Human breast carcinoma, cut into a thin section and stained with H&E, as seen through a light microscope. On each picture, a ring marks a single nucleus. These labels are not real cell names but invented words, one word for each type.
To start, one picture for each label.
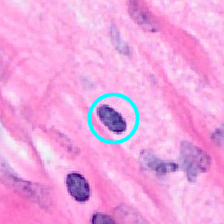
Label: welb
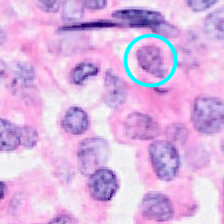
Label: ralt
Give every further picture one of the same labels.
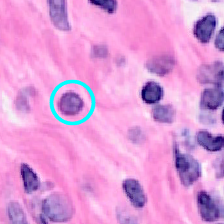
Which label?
welb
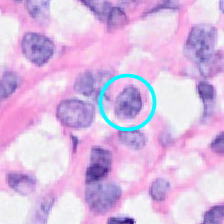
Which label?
ralt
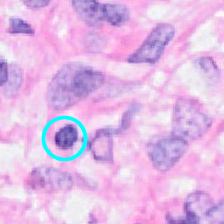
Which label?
welb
